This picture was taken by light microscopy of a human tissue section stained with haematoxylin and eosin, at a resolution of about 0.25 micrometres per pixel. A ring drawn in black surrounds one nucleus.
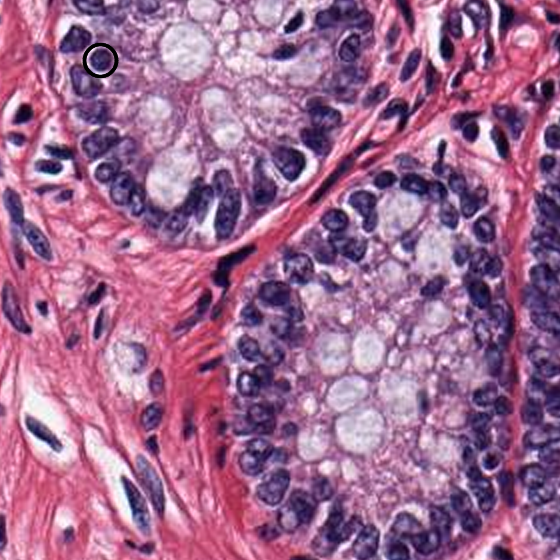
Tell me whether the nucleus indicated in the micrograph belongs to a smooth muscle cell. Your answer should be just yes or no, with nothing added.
no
